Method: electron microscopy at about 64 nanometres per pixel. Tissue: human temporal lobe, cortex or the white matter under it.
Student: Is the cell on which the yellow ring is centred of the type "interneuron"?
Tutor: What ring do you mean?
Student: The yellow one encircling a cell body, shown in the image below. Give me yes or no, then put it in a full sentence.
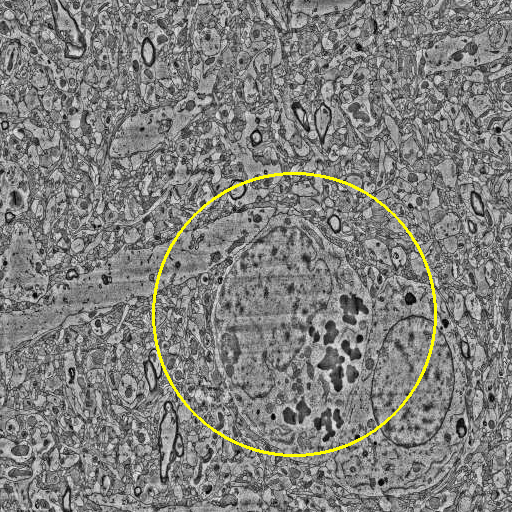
Yes, the cell on which the yellow ring in the image is centred has that type.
